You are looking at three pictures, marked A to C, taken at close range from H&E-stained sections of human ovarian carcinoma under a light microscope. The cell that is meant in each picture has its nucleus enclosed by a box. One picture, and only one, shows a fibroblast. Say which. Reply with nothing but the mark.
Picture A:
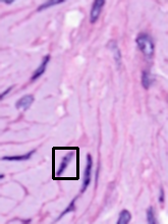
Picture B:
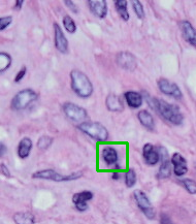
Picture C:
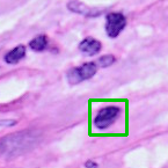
A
